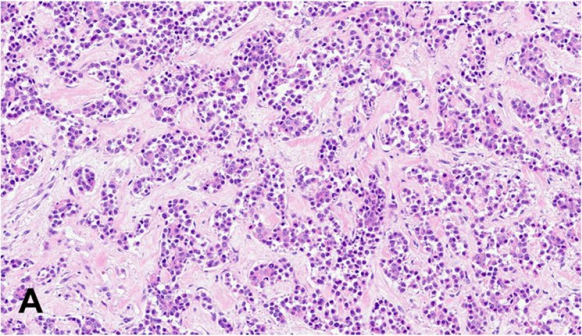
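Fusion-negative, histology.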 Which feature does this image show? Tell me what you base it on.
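Interconnecting nests and aggregates of epithelioid tumor cells. Round-nucleated cells in connected nests and cords. Pale pink hyalinized stroma between the nests.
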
